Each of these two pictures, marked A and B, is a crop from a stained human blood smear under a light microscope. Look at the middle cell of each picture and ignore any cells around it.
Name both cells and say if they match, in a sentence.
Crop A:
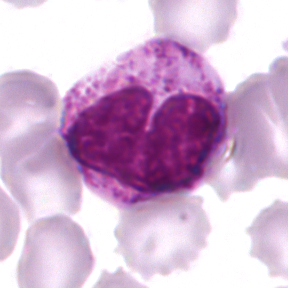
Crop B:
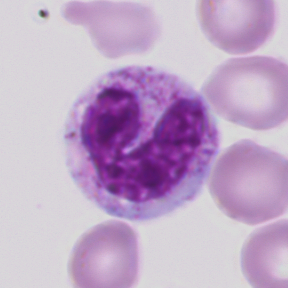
Yes, both crops show band neutrophils, the one and the other.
